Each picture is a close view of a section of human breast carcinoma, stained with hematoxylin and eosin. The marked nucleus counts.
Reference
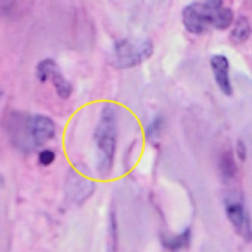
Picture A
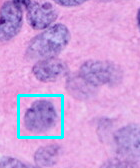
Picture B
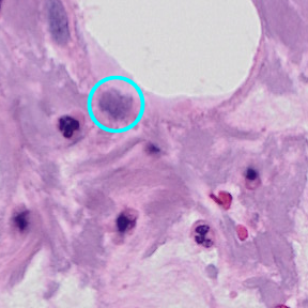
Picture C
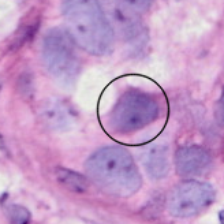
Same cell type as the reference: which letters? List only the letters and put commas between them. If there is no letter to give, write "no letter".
B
